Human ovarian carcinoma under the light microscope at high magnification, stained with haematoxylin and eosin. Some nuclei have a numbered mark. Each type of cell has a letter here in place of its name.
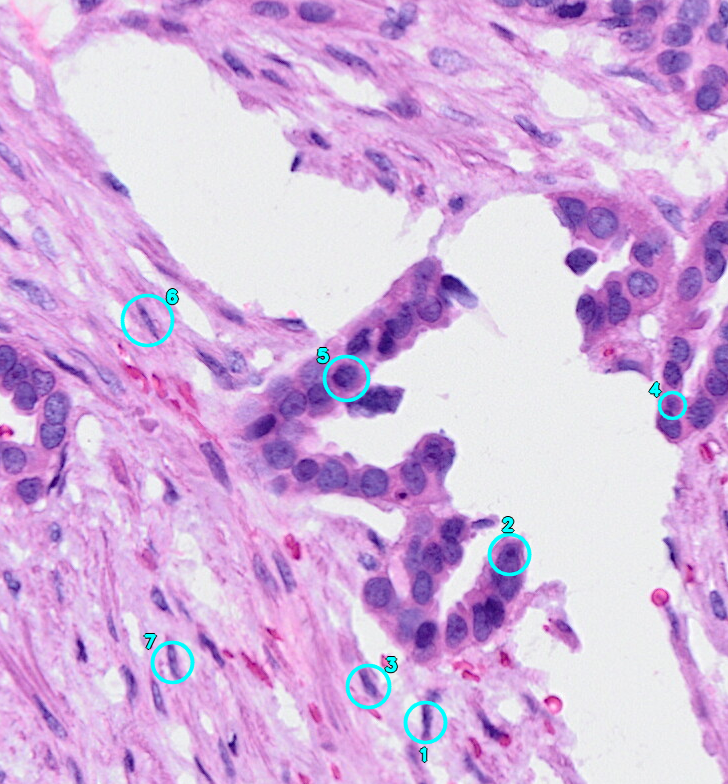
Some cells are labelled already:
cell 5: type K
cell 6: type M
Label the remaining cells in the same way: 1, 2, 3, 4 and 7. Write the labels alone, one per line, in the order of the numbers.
type M
type K
type M
type K
type M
